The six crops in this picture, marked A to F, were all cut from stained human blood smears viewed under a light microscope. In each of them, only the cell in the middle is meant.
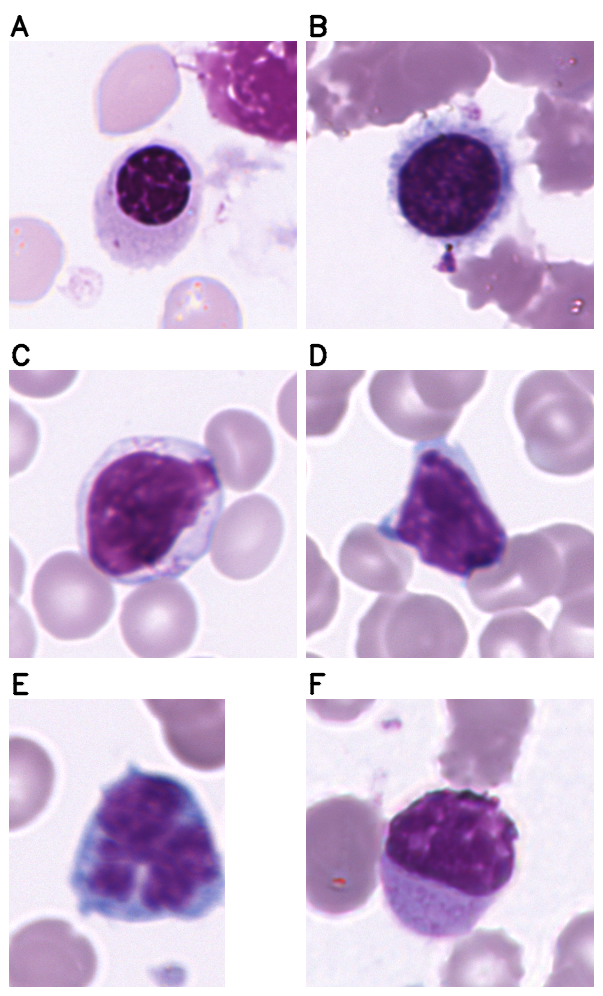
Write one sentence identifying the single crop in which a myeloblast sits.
Here the crop that shows a myeloblast is crop E.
